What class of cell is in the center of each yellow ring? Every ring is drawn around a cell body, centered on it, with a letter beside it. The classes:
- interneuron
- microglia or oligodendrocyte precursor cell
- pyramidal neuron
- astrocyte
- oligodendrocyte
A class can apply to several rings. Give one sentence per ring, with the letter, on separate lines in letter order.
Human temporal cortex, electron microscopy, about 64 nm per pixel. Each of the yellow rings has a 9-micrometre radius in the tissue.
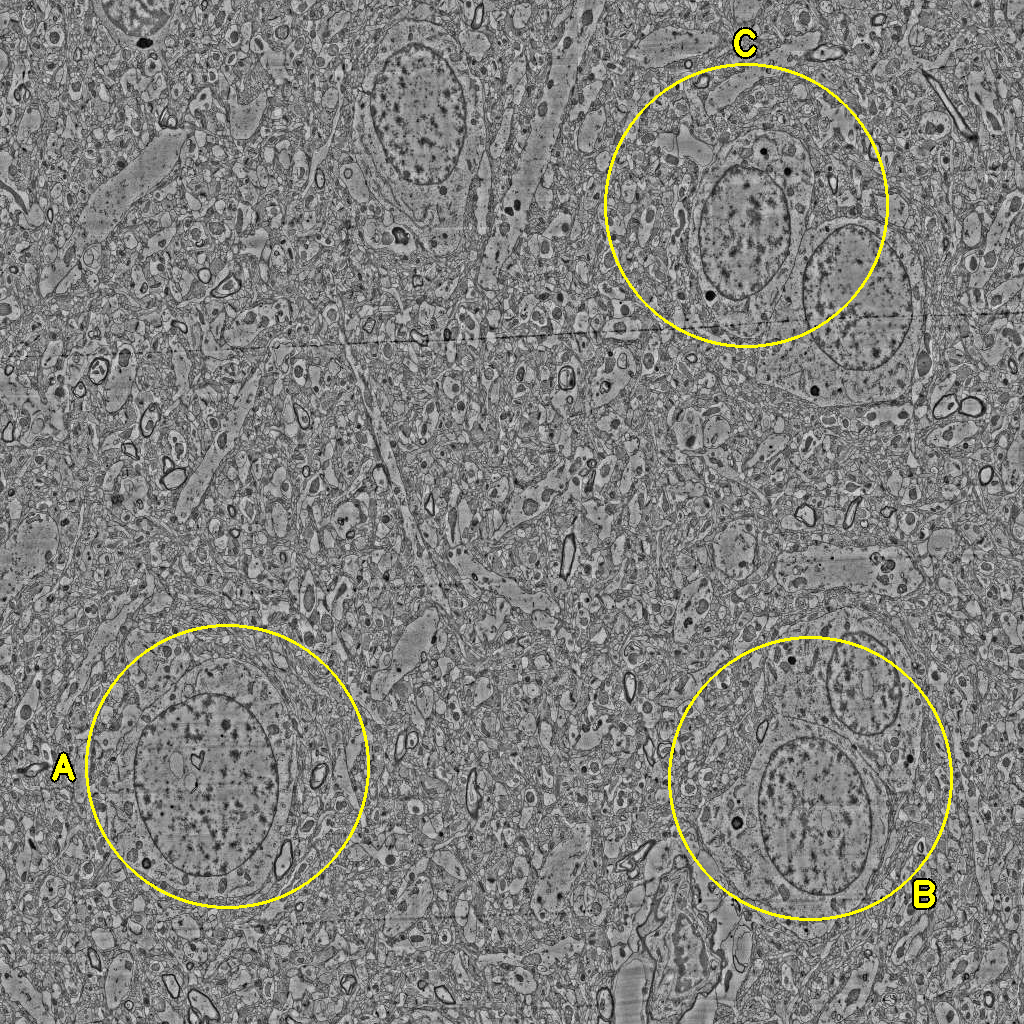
Ring A holds a pyramidal neuron at its center.
Ring B holds a pyramidal neuron at its center.
Ring C holds a pyramidal neuron at its center.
